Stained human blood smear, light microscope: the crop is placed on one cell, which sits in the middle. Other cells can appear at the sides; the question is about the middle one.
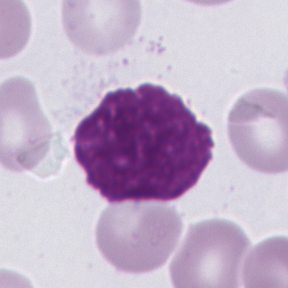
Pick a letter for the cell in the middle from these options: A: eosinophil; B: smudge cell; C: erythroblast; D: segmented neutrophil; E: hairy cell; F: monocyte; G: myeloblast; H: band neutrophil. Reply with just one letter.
B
